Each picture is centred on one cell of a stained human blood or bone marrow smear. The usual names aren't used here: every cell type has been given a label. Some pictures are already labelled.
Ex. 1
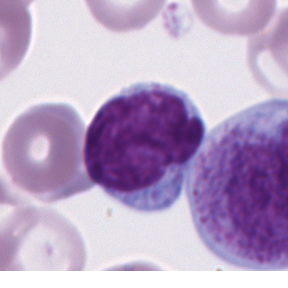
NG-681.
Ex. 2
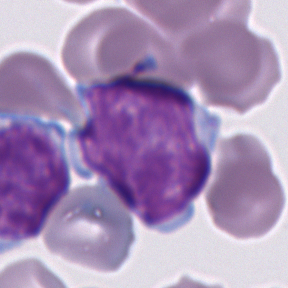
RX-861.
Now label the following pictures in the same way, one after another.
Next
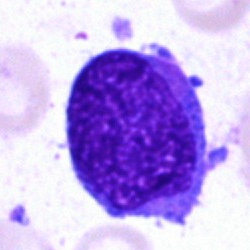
RX-861.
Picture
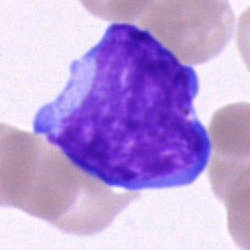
RX-861.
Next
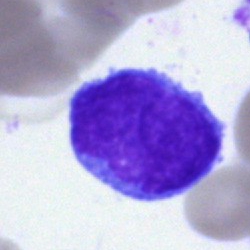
RX-861.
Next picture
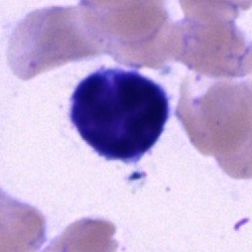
NG-681.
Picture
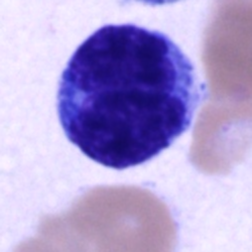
RX-861.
